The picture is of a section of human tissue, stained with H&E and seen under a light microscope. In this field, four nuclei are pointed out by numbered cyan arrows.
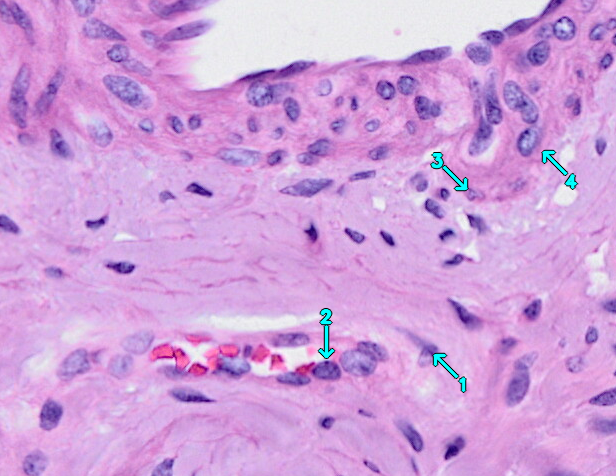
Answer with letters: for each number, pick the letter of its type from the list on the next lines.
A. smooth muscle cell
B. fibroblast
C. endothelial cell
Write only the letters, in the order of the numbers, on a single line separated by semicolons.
B; C; A; A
